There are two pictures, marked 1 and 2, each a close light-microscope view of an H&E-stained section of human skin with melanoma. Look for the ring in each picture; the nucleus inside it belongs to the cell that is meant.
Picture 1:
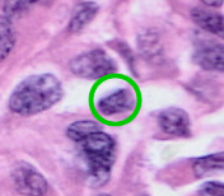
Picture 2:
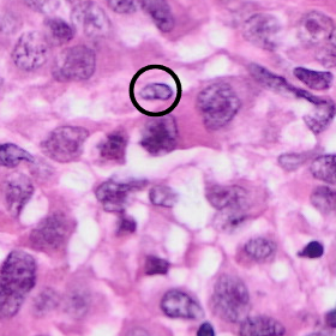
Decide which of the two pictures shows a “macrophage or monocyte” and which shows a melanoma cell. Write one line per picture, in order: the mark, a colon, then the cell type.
1: melanoma cell
2: macrophage or monocyte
